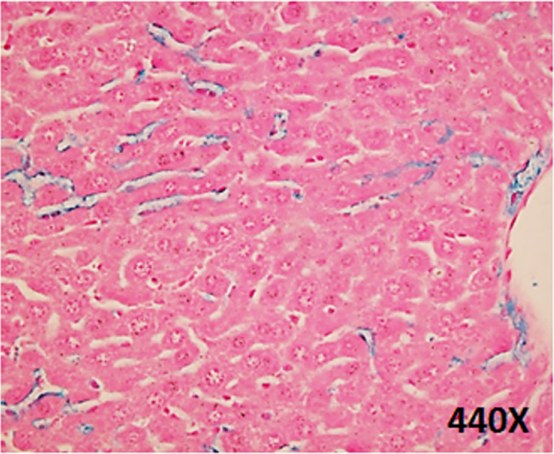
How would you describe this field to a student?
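The hepatocytes are large polygonal cells with pink cytoplasm and round, centrally placed nuclei. Between the cords run narrow, branching sinusoidal spaces, and many of them are outlined by thin, elongated blue-stained cells. The blue deposits are heaviest along the sinusoids and around the large vessel at the right edge of the field. The hepatocyte cytoplasm itself is largely free of blue stain.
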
